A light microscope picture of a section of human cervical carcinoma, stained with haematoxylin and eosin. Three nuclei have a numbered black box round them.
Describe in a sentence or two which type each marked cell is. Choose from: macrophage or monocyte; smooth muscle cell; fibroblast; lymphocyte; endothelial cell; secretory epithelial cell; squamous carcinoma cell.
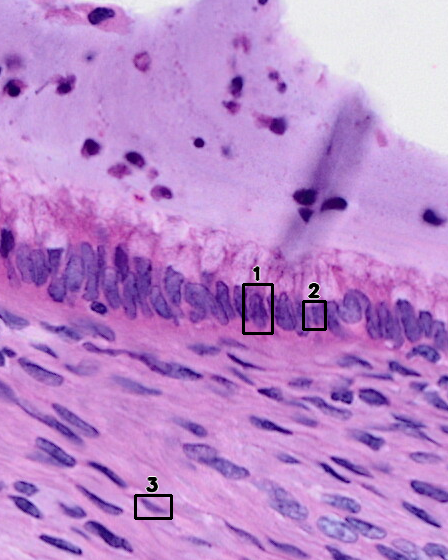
Cells 1 and 2 are secretory epithelial cells. Cell 3 is a fibroblast.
